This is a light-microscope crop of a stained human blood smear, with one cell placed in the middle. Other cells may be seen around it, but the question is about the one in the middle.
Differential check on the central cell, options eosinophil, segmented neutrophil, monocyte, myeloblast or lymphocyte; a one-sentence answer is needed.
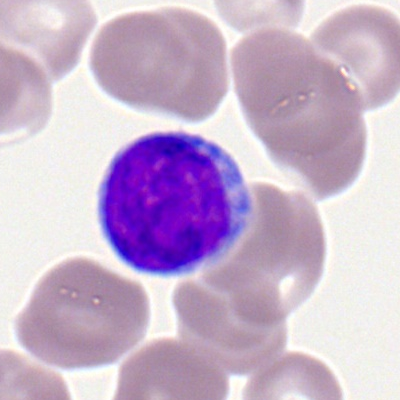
Regarding the central cell, it is a lymphocyte.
